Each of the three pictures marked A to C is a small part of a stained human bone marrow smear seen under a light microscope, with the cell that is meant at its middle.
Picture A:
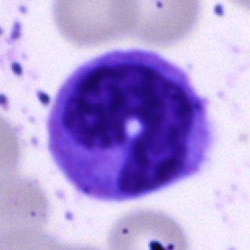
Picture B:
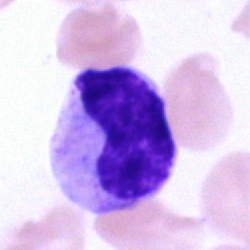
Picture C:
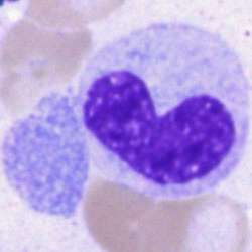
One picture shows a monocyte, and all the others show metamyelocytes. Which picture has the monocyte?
A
